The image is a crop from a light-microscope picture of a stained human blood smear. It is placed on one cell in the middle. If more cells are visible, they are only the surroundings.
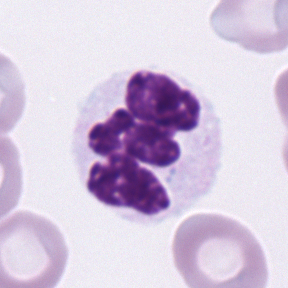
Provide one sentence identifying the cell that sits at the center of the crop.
The cell centered in this field of view is a segmented neutrophil.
